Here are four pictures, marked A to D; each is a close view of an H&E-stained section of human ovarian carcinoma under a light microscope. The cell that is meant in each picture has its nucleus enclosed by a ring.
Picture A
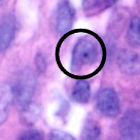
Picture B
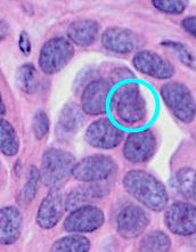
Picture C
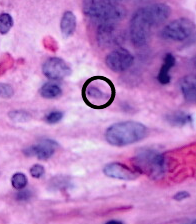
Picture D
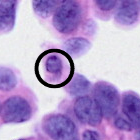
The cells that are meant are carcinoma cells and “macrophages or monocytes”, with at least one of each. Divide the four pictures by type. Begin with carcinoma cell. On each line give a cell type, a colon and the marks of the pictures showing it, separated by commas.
carcinoma cell: B
macrophage or monocyte: A, C, D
